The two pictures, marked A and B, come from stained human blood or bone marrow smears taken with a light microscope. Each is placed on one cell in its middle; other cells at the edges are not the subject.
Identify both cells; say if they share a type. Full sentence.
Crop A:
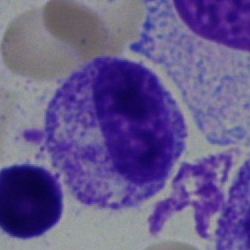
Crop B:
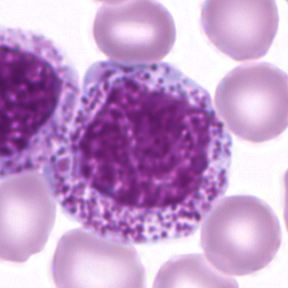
Yes, both crops are centred on cells that are myelocytes.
